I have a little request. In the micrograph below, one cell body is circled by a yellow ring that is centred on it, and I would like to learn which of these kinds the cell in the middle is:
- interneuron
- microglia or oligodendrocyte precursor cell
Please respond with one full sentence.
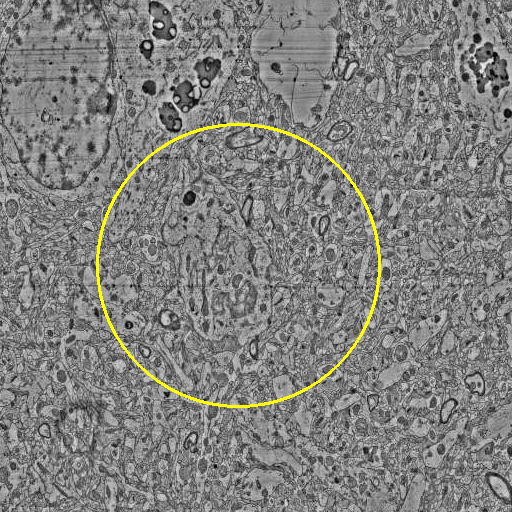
The cell sitting in the middle of the yellow ring in the micrograph is an interneuron.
